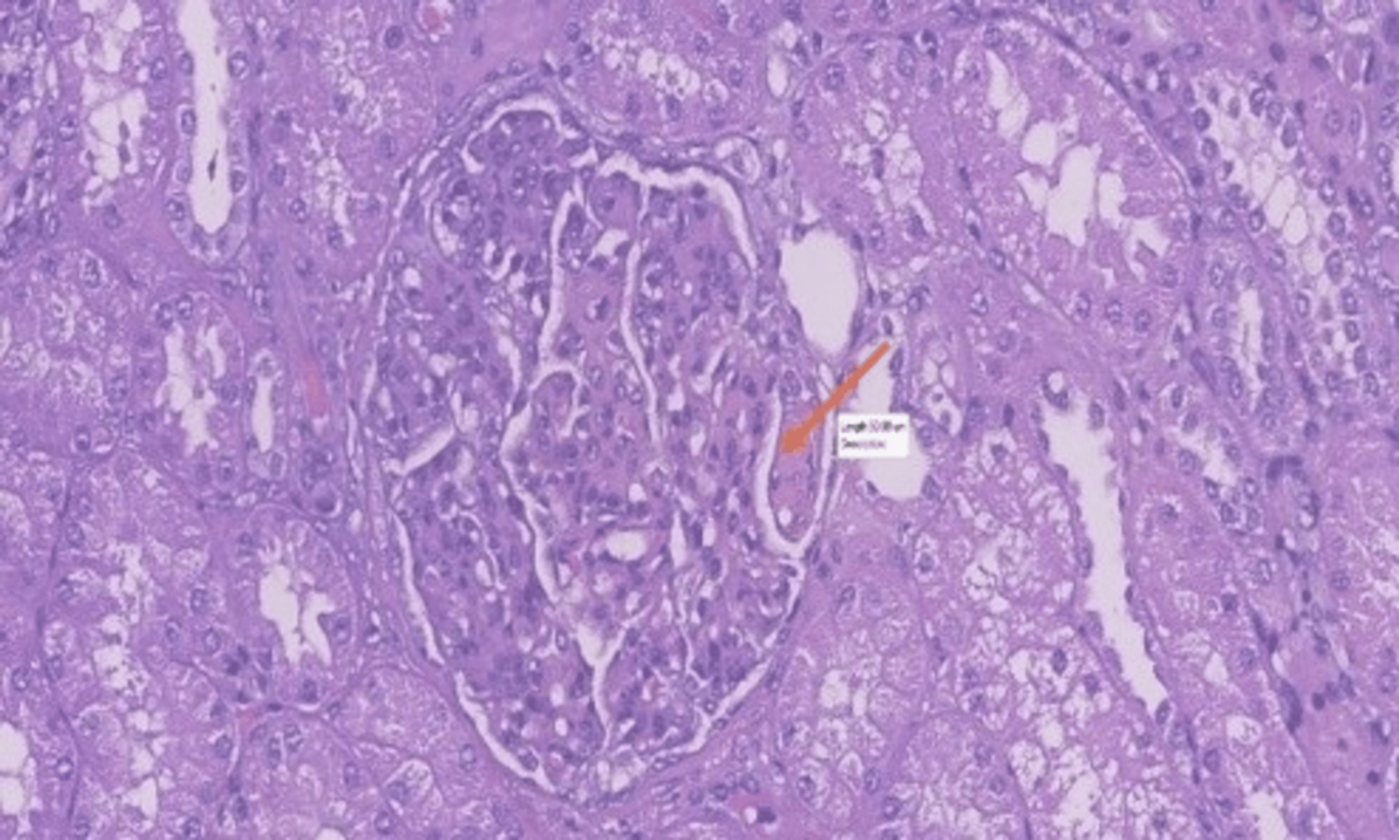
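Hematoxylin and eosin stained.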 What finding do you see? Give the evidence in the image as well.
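The glomerular tuft is crowded with many nuclei. Capillary lumina within the tuft are hardly open.
Hence: endocapillary hypercellularity.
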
